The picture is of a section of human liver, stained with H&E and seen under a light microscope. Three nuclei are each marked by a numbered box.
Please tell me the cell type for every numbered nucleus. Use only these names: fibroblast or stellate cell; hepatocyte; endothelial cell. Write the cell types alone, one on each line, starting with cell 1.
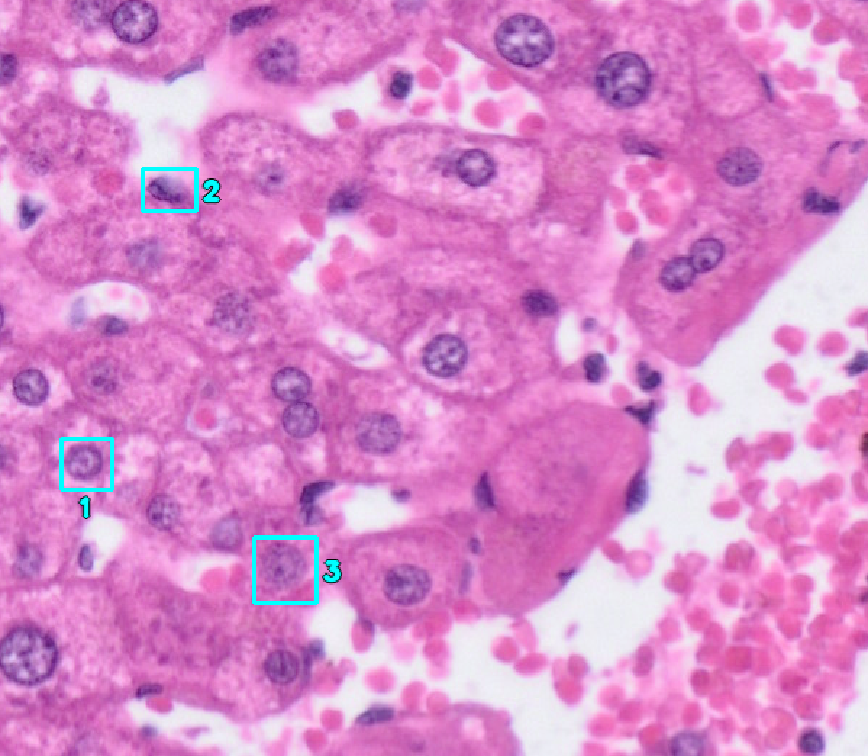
hepatocyte
endothelial cell
hepatocyte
